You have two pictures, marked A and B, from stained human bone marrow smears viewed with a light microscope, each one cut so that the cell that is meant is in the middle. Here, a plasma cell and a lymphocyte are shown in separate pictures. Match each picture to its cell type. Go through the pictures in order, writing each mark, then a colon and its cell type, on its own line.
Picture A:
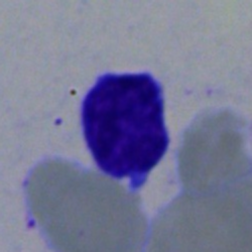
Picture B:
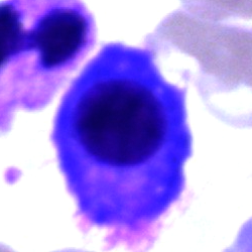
A: lymphocyte
B: plasma cell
